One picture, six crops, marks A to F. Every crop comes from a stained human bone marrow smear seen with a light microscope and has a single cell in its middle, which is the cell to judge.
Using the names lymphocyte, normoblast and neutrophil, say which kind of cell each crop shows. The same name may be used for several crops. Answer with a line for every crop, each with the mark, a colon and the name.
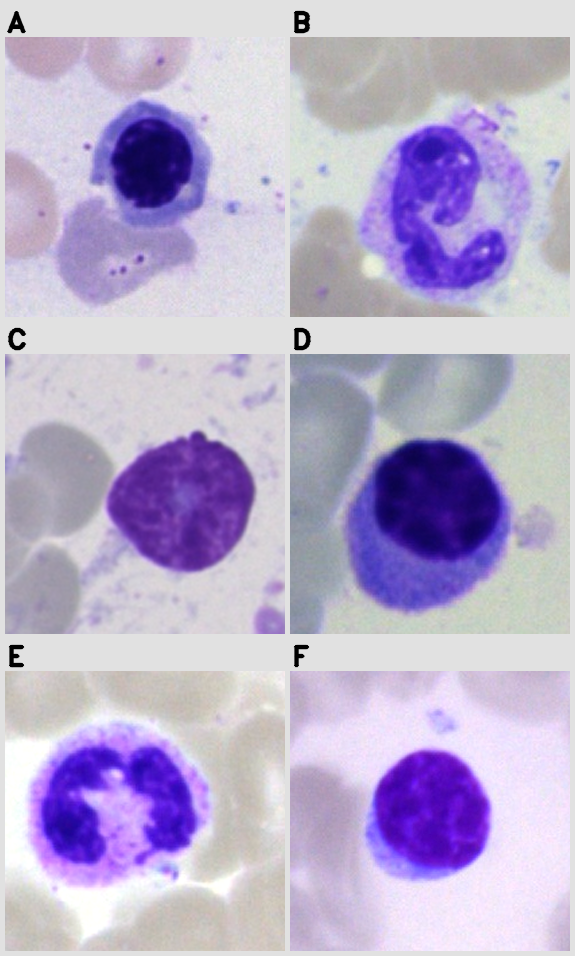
A: normoblast
B: neutrophil
C: lymphocyte
D: lymphocyte
E: neutrophil
F: lymphocyte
